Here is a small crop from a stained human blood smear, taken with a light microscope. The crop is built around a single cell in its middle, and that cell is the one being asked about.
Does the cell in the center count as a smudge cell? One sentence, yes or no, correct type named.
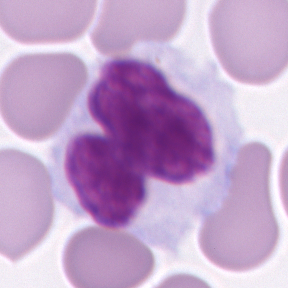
No, the central cell is not a smudge cell; it is a hairy cell instead.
